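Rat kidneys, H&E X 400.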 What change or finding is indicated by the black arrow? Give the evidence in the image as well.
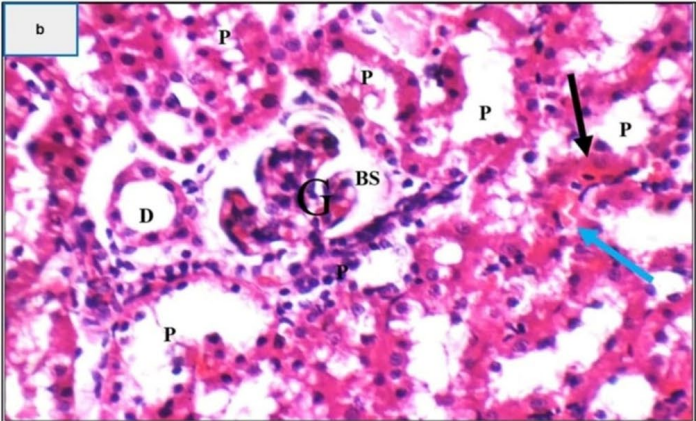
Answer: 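The arrow points to a tubule wall with a small, dark, condensed nucleus. The surrounding cytoplasm is deeply eosinophilic.
Hence: apoptotic epithelial lining.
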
